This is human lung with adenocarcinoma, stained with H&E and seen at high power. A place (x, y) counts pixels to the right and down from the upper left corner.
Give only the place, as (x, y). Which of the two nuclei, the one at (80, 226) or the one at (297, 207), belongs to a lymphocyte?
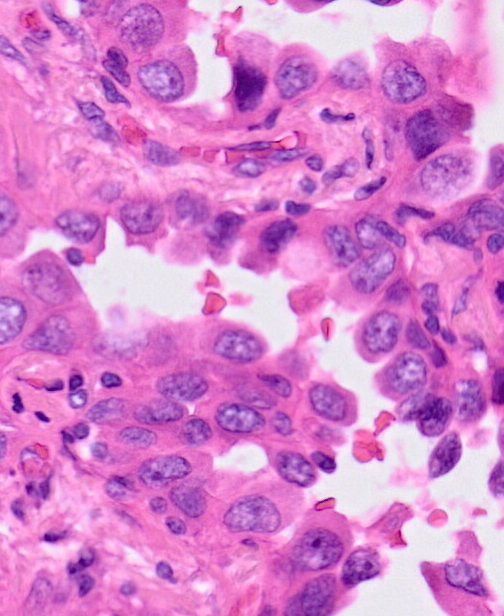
(297, 207)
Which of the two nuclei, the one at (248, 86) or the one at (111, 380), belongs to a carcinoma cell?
(248, 86)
